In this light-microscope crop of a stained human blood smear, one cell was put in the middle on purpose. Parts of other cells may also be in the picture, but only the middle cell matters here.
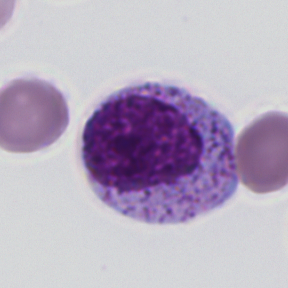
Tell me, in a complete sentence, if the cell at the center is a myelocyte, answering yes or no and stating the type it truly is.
Yes, the cell that the crop is centered on is a myelocyte.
